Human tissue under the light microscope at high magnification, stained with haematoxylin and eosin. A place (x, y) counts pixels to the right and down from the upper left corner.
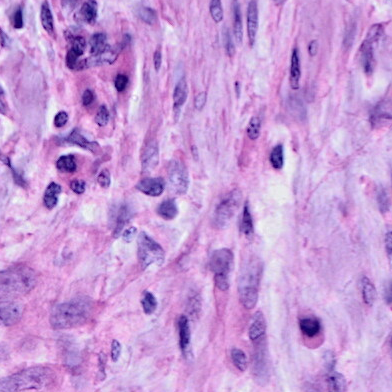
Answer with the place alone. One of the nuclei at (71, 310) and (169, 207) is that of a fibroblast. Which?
(71, 310)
